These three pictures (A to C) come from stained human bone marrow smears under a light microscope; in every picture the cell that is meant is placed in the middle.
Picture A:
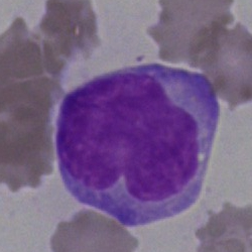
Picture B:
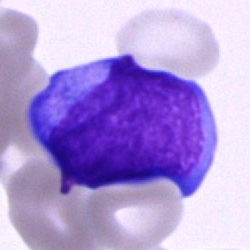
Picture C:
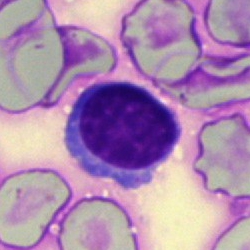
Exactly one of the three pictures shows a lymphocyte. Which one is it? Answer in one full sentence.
The cell in picture C is the lymphocyte.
